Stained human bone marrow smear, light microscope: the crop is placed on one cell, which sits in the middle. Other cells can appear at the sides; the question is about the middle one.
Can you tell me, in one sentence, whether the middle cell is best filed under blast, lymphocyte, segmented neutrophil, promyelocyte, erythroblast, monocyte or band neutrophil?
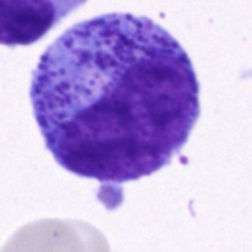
The middle of this crop holds a promyelocyte.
